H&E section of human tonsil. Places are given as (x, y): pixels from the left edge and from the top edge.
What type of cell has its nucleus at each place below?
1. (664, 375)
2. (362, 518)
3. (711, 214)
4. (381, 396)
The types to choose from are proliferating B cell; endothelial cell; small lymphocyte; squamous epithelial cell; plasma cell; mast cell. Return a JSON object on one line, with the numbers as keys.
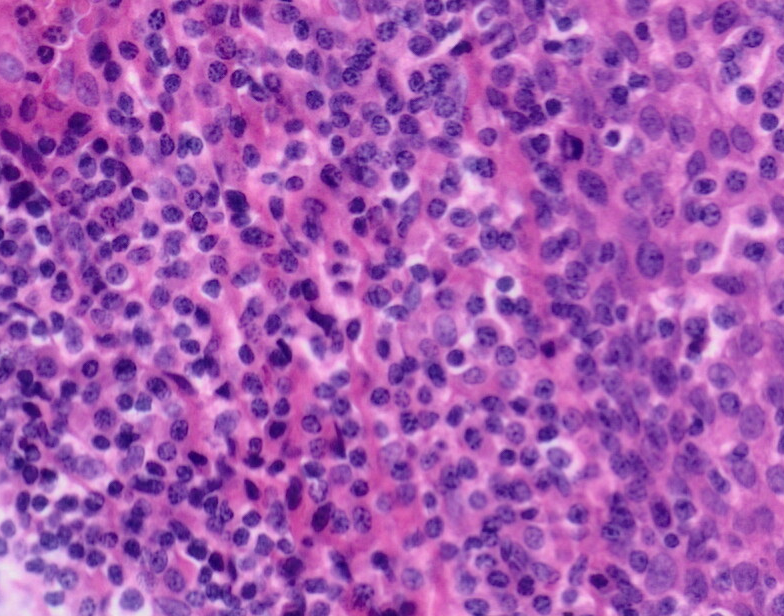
{"1": "squamous epithelial cell", "2": "plasma cell", "3": "plasma cell", "4": "plasma cell"}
